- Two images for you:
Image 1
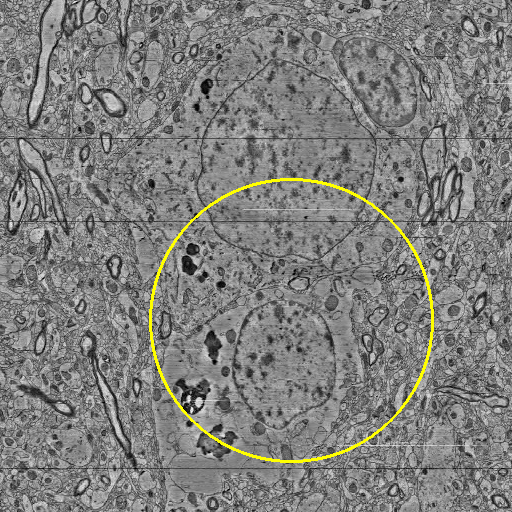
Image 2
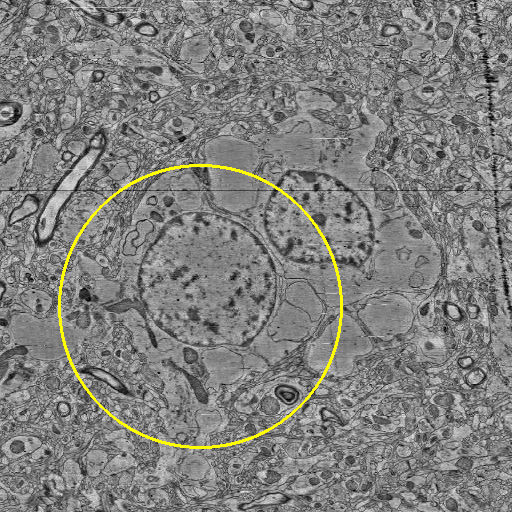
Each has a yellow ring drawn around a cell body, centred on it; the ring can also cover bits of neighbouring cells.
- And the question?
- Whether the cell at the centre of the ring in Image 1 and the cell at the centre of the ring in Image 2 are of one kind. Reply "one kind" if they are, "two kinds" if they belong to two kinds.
one kind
